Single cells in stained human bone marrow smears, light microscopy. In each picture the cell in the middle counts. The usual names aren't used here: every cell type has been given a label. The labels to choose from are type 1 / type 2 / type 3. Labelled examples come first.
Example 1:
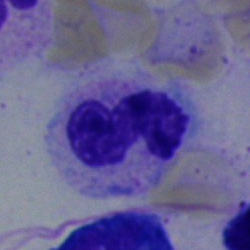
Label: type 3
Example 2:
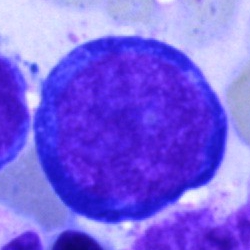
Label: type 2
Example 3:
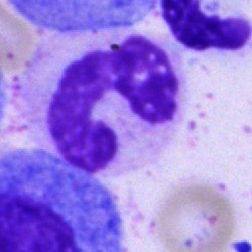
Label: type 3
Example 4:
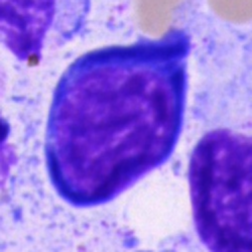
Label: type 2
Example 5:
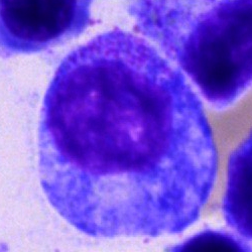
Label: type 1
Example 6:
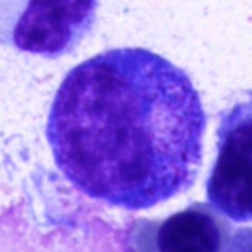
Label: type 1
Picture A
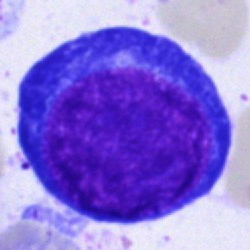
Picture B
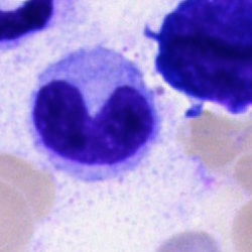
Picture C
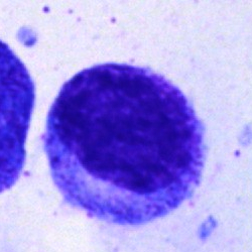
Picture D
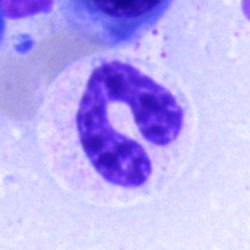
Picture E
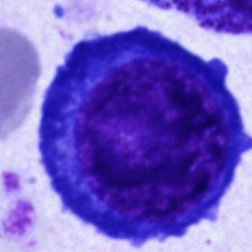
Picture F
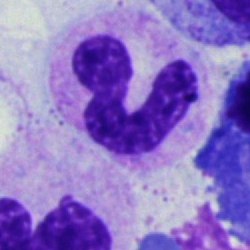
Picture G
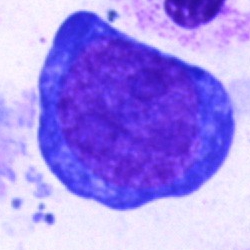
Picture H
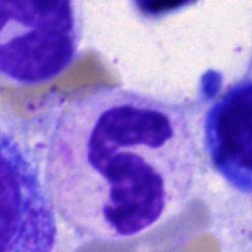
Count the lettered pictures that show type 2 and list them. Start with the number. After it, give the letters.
Count: 3 (A, E, G)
